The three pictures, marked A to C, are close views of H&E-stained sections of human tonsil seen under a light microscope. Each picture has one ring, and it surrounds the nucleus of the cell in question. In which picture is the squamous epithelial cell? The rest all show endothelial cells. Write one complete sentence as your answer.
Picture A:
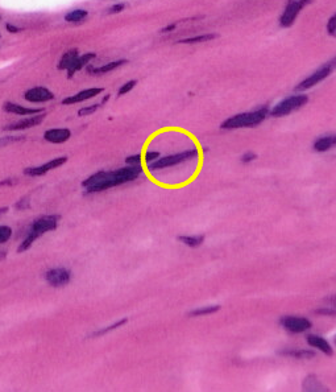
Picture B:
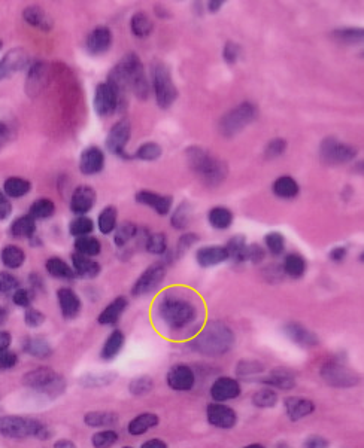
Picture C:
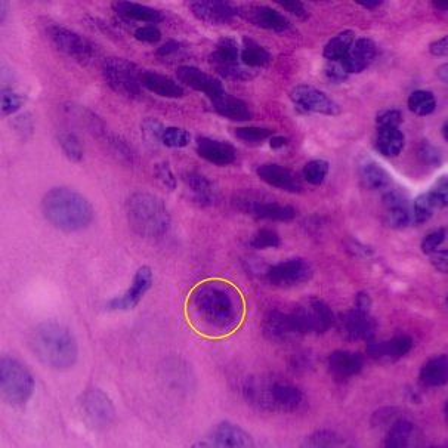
The picture with the squamous epithelial cell is C.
